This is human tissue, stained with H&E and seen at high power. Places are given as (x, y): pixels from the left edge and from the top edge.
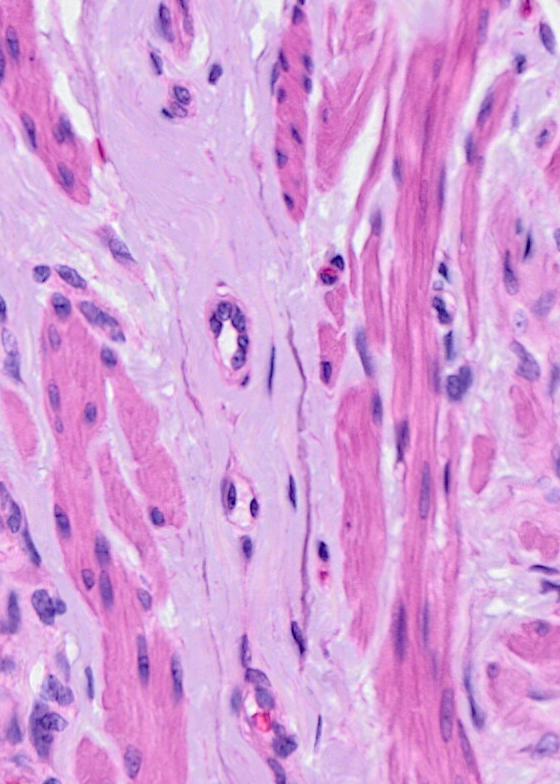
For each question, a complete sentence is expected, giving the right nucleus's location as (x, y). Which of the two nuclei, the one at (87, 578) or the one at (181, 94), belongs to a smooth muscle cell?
Lying within a smooth muscle cell is the nucleus at (87, 578).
